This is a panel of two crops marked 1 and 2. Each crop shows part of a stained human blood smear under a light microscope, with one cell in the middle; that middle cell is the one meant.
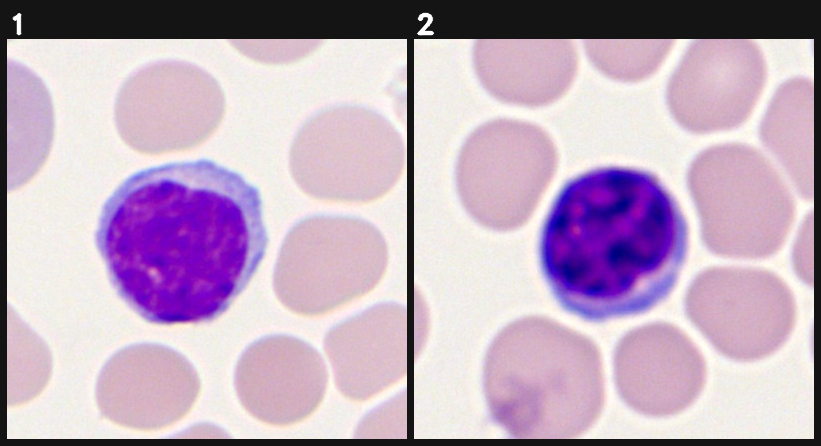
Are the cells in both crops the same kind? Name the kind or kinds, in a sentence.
Yes, both crops show lymphocytes, to put it briefly.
